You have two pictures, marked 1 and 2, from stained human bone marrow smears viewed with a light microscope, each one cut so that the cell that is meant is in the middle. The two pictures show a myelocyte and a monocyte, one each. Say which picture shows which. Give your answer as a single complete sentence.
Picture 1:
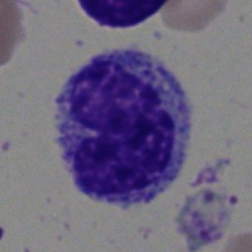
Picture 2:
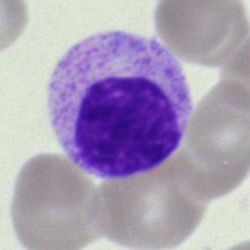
It is picture 1 that shows a monocyte, and picture 2 that shows a myelocyte.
